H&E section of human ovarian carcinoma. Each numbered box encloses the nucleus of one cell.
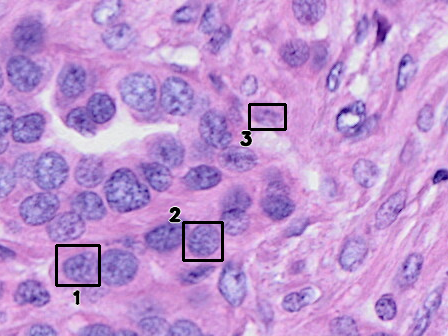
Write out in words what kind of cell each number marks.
Cell 1 is a carcinoma cell, cell 2 is a carcinoma cell and cell 3 is a fibroblast.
